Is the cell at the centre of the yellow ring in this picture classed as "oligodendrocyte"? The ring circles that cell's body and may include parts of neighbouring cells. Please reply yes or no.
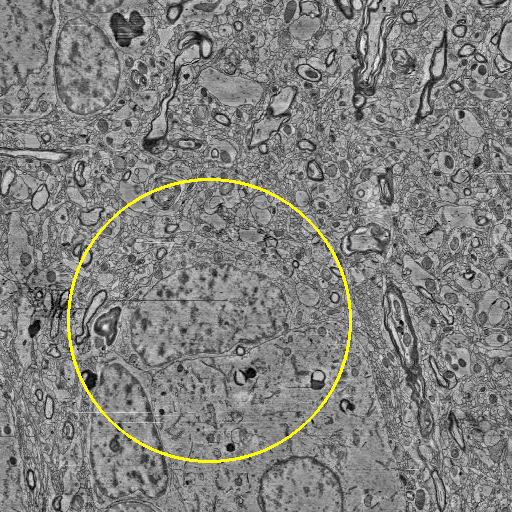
No, it is of another kind.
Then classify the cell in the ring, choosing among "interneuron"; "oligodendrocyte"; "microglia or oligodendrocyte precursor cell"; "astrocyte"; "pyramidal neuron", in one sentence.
The cell marked by the ring is an interneuron.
